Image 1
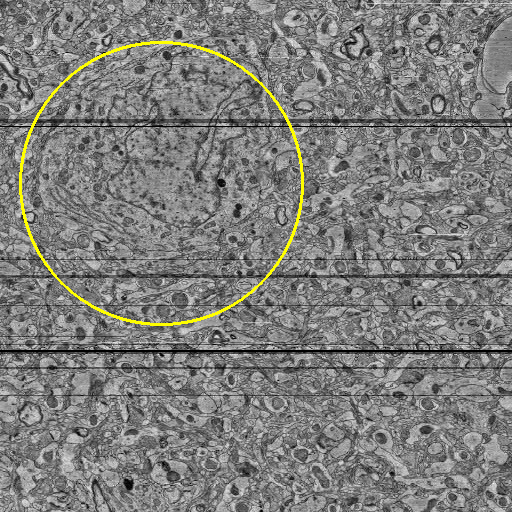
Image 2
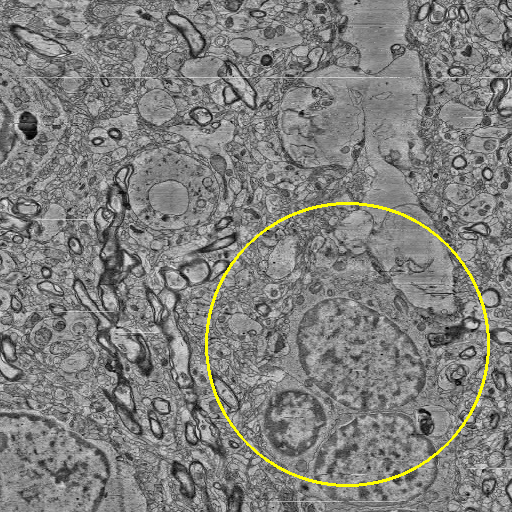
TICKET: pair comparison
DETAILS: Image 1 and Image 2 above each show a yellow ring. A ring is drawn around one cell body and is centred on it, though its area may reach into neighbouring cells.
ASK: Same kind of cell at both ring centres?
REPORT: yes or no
no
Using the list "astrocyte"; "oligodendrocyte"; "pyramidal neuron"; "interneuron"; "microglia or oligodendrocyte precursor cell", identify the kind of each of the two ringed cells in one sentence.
The first is an interneuron and the second is an oligodendrocyte.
